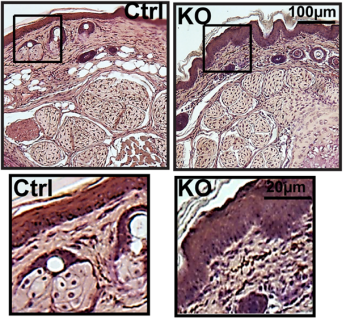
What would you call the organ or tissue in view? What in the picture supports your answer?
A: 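Skin with a thick cornified surface lies over a thin dermis. Below the dermis lie many large, densely packed bundles cut in cross section. Hair follicles sit in small groups in the dermis. The answer: tail.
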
